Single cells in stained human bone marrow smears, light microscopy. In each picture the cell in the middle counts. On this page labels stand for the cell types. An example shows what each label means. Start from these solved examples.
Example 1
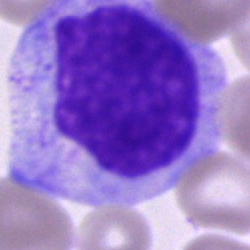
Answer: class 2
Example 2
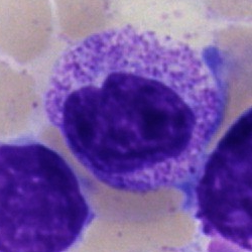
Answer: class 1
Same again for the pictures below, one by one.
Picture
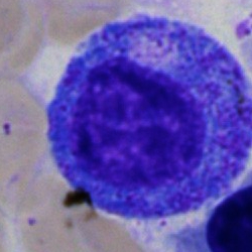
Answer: class 2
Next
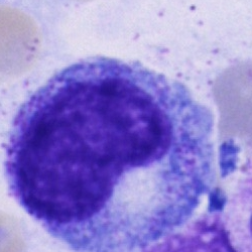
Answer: class 2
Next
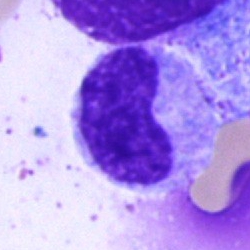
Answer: class 1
